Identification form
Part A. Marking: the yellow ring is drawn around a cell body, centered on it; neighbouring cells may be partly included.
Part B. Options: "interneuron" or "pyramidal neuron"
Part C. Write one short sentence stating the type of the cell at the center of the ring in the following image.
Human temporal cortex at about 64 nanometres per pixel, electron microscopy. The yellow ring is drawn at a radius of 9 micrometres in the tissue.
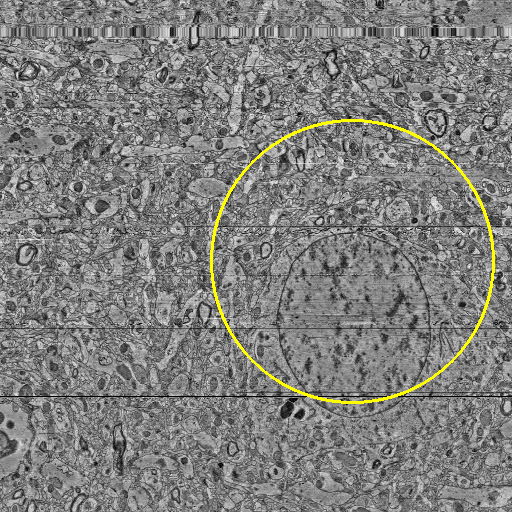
The center of the ring holds a pyramidal neuron.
